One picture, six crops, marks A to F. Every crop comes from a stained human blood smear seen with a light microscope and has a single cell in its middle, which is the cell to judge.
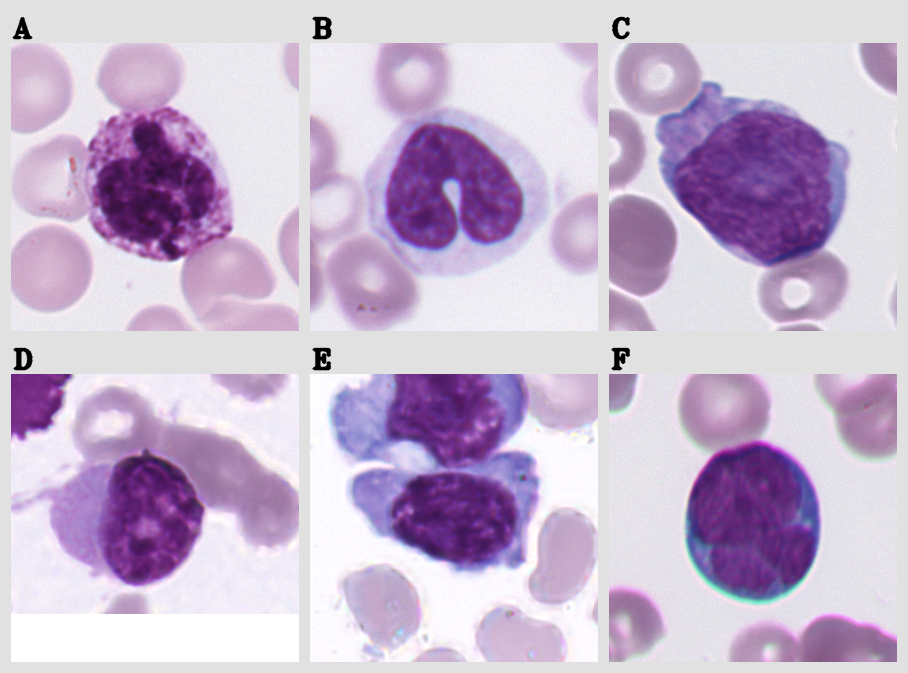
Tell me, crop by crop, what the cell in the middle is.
A: basophil
B: band neutrophil
C: promyelocyte
D: plasma cell
E: plasma cell
F: myeloblast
